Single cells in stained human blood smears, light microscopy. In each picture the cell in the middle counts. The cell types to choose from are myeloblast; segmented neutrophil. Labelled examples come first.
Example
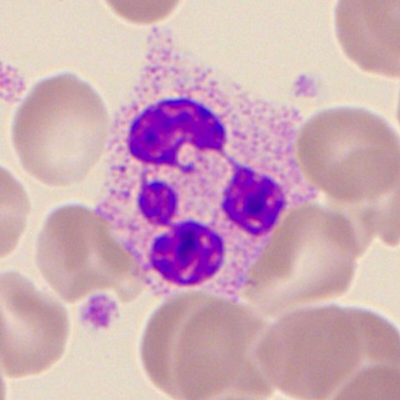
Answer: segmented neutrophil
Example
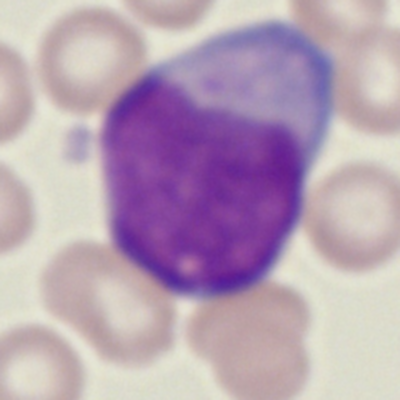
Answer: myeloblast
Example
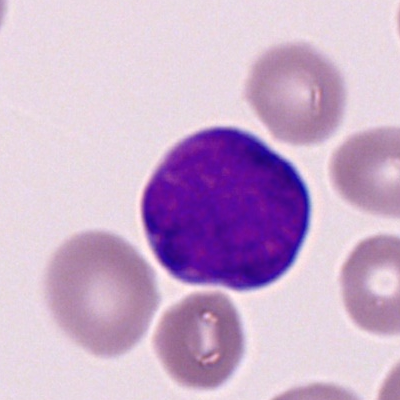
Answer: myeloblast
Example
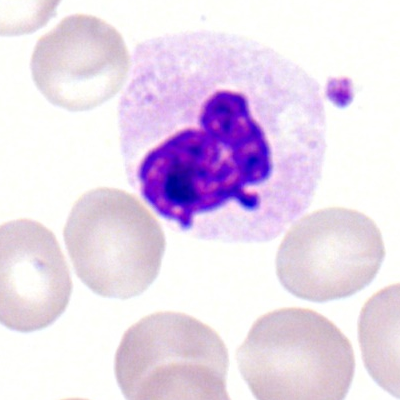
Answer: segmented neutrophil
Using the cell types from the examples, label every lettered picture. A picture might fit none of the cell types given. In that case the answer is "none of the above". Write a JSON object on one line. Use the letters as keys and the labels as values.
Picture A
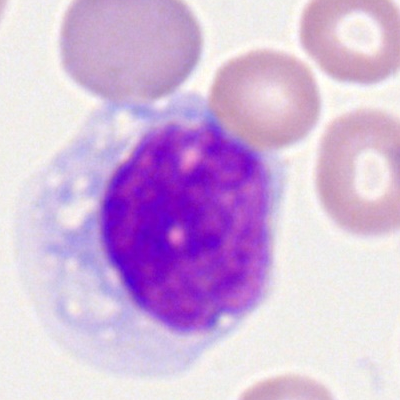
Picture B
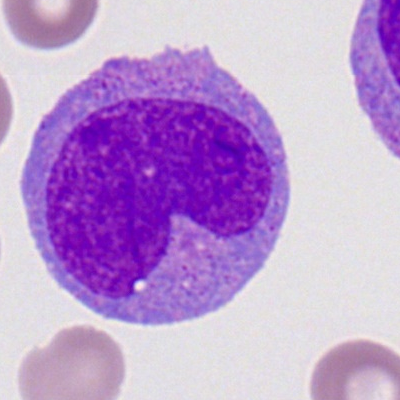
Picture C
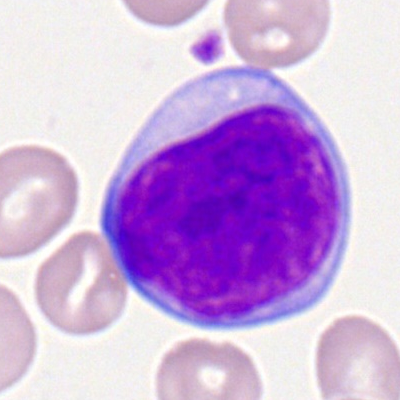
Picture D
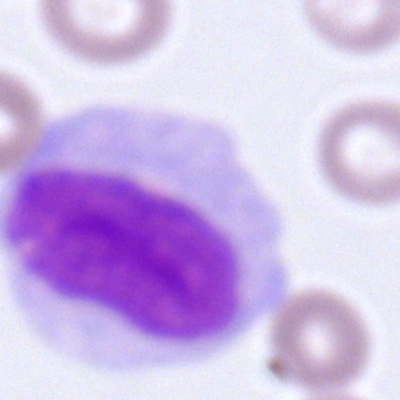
{"A": "none of the above", "B": "myeloblast", "C": "myeloblast", "D": "none of the above"}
